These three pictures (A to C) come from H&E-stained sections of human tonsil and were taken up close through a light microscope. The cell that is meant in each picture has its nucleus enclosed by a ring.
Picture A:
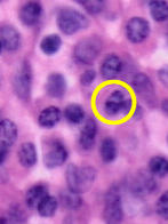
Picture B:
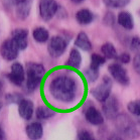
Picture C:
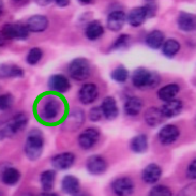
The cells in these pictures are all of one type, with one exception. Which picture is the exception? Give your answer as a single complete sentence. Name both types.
The others show plasma cells, but picture B shows a proliferating B cell.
